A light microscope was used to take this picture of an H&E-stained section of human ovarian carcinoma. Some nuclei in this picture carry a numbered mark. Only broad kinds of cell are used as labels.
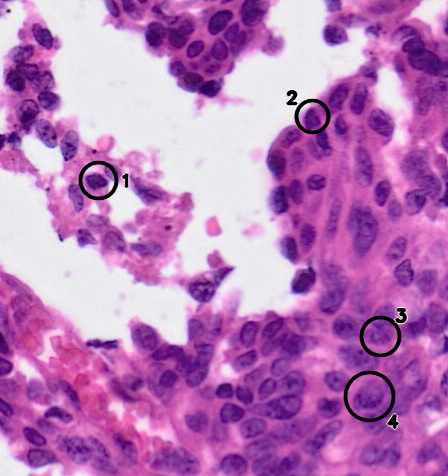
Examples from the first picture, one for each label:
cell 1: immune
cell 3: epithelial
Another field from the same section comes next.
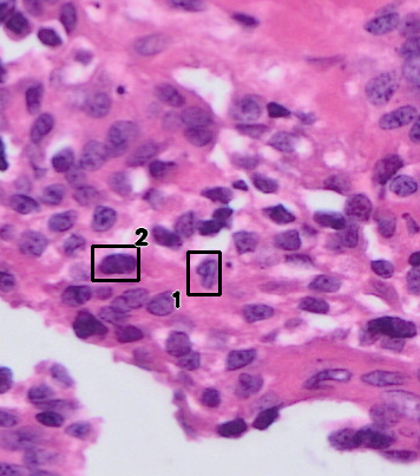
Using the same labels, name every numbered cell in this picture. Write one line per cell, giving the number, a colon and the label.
1: immune
2: epithelial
